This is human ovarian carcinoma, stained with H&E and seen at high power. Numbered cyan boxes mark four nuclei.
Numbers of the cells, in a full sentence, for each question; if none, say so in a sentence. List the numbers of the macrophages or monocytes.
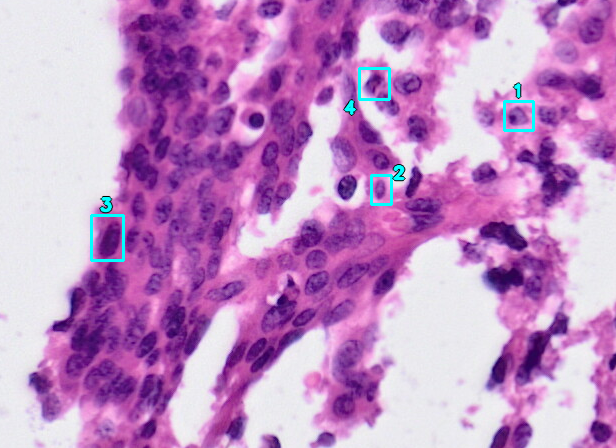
Into the category of macrophages or monocytes fall the cells numbered 1, 2 and 4.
